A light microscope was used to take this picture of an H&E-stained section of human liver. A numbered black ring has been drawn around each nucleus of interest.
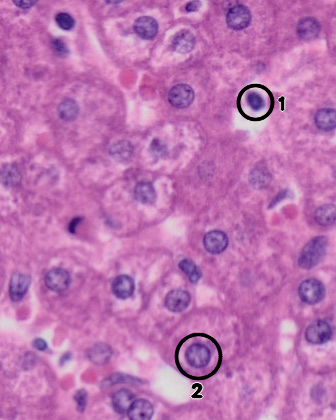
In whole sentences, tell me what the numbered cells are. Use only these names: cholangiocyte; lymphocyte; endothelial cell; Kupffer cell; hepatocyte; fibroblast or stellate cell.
Cell 1 is a lymphocyte and cell 2 is a hepatocyte.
